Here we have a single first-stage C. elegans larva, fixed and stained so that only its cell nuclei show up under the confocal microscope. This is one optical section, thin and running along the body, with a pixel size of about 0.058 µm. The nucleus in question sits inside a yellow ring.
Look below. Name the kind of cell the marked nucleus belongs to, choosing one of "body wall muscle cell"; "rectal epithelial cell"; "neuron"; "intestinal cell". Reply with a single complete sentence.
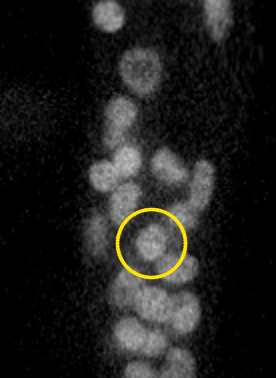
The marked nucleus is that of a rectal epithelial cell.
